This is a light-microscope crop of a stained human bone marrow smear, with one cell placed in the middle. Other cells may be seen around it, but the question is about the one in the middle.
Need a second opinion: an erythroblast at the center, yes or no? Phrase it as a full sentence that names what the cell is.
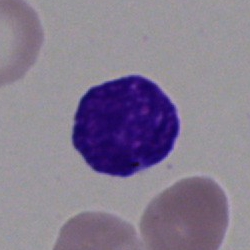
No, the identification should read a blast, not an erythroblast, for the central cell.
